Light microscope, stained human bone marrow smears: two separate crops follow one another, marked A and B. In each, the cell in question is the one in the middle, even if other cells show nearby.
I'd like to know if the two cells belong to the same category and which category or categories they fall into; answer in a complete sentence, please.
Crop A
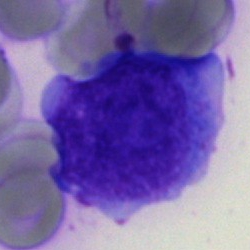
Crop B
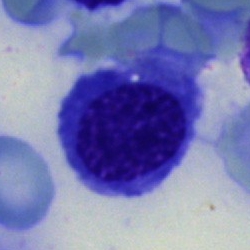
No, for crop A the cell is a blast, and for crop B it is a normoblast.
